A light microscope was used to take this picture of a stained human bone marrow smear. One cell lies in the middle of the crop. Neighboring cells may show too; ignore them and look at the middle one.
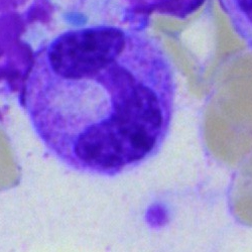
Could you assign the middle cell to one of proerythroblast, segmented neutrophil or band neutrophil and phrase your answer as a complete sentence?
The middle cell in this particular crop is a segmented neutrophil.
